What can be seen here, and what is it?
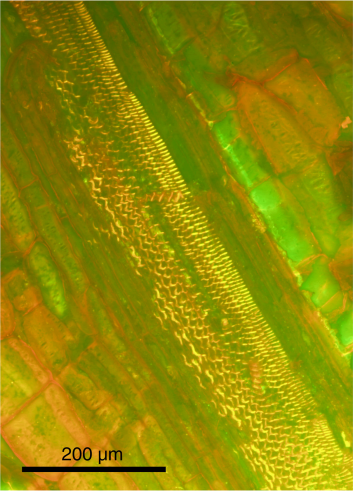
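Several long, narrow vessels run diagonally across the field. Their walls bear closely spaced helical bands that glow yellow-orange, giving a coiled-spring appearance along each vessel. On either side lie elongated, roughly rectangular cells with orange walls and a green background, arranged in files parallel to the vessels.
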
